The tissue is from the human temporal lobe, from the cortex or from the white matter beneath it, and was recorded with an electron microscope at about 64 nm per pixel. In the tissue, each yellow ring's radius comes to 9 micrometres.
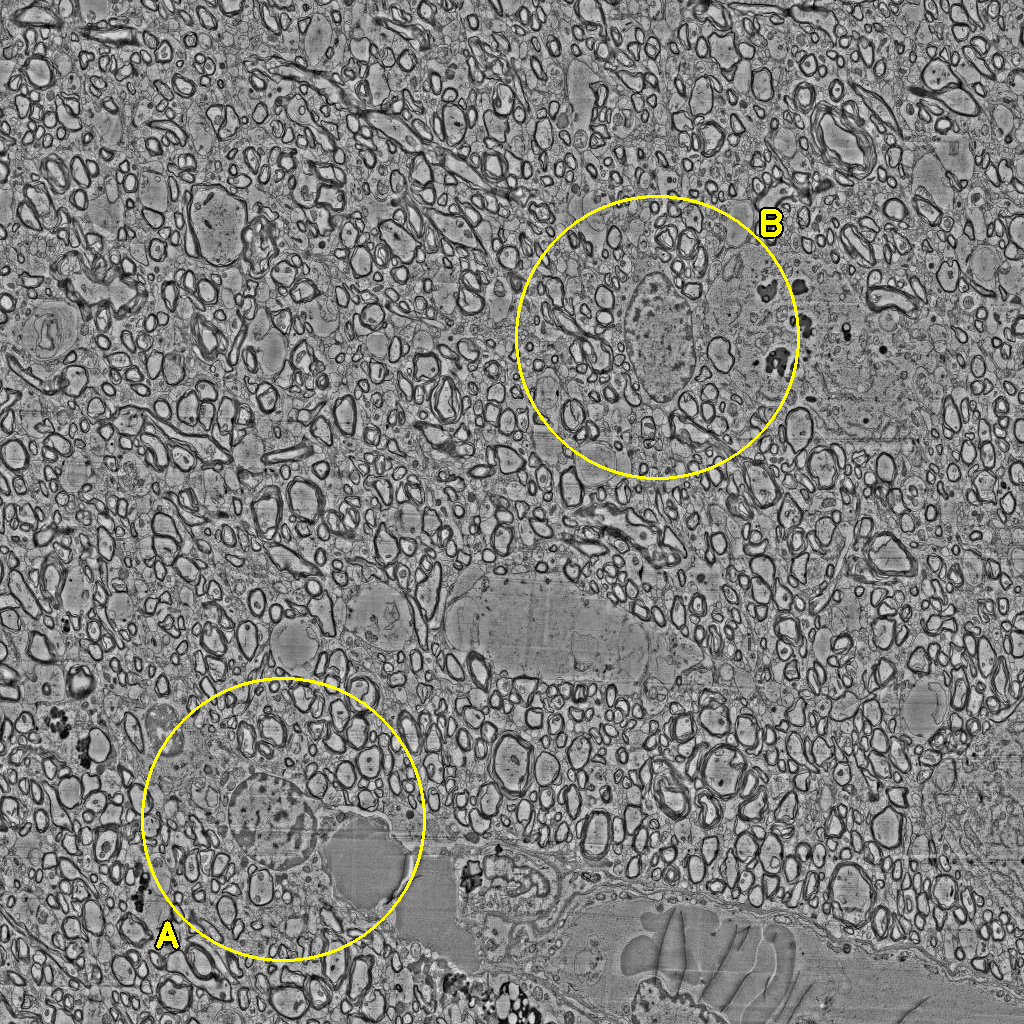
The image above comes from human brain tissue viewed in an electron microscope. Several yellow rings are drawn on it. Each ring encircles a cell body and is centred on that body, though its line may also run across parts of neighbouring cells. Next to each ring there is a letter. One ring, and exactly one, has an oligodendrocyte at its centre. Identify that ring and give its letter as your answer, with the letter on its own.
B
